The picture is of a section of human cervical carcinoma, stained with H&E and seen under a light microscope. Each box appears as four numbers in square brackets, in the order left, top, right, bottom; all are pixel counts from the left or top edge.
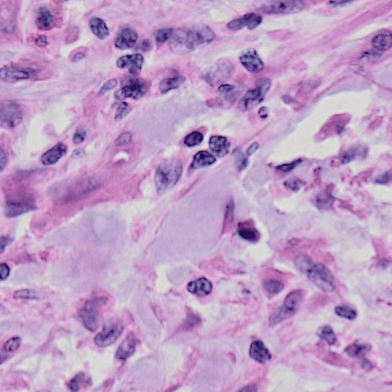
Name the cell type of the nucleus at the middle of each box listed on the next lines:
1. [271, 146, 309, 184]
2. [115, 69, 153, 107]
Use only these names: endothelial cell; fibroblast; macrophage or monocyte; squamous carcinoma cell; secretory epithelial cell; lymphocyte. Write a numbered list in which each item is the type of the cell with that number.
1. fibroblast
2. lymphocyte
